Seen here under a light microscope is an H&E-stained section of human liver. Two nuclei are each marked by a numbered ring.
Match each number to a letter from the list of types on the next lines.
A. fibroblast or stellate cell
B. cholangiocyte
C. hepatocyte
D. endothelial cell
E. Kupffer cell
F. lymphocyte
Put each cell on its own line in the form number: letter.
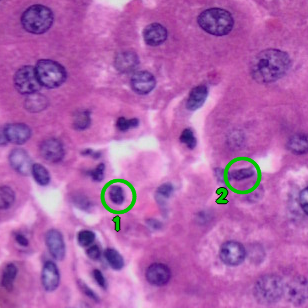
1: F
2: A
